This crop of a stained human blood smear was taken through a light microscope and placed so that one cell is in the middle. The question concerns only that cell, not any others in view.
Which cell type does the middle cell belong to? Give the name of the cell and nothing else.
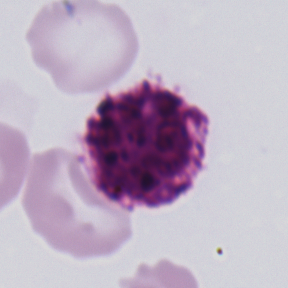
basophil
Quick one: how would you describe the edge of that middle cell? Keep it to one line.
In outline, the cell is irregular, ragged in stretches or drawn into projections.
